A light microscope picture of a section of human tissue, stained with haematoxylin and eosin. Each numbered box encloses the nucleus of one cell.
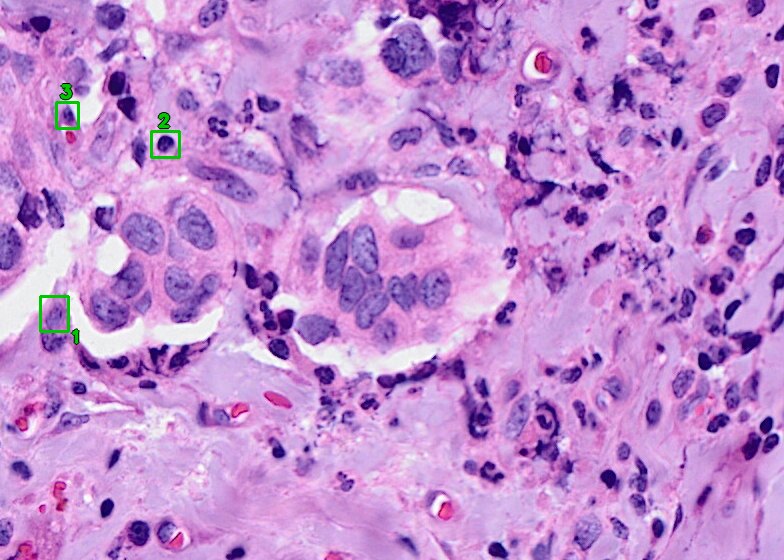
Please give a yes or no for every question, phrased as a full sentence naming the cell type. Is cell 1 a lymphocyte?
No, for cell 1, the correct identification is an endothelial cell instead of a lymphocyte.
